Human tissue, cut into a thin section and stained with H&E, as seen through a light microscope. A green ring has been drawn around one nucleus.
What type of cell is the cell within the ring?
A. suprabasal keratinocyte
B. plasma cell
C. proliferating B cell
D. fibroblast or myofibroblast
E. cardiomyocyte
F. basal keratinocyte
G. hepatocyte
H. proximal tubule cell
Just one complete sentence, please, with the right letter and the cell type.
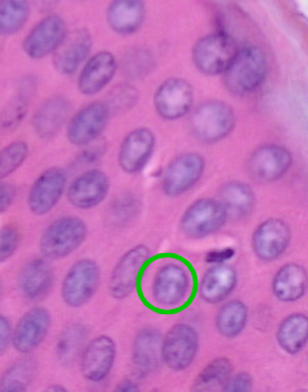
Hey, it is option A: the cell within the ring is a suprabasal keratinocyte.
